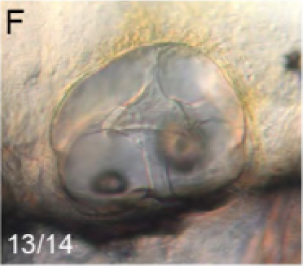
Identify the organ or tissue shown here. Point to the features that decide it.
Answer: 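A large fluid-filled vesicle bounded by a thin epithelial wall. Two rounded dense bodies lie inside the vesicle. Thin tissue strands cross the lumen. The answer: ears.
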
